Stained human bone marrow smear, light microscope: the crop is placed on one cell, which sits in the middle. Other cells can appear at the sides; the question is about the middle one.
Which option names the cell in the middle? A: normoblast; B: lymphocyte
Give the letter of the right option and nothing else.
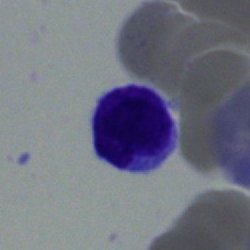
B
